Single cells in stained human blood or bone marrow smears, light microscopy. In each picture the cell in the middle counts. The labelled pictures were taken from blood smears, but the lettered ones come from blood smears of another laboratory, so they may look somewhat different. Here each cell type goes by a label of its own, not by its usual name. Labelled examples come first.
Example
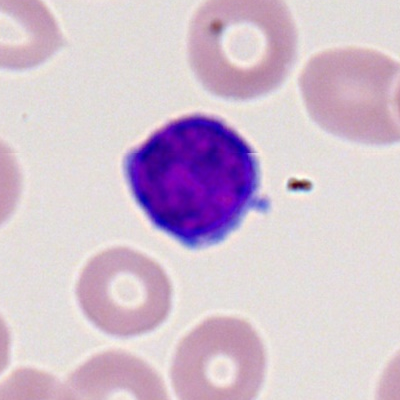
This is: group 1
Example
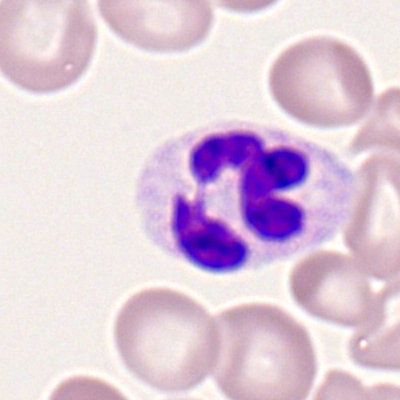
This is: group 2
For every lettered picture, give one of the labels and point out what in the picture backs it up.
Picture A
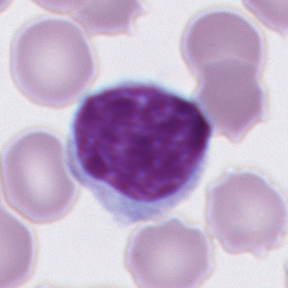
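group 1: The cytoplasm forms a thin rim that is widest below the nucleus.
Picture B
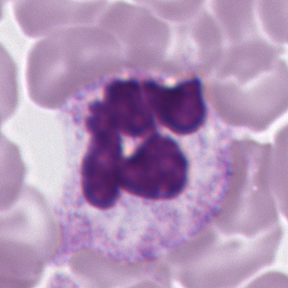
group 2: The cytoplasm is pale pinkish-lilac, not blue.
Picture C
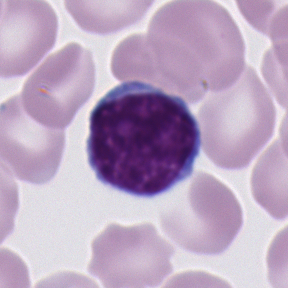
group 1: The cytoplasm is only a thin rim around the nucleus.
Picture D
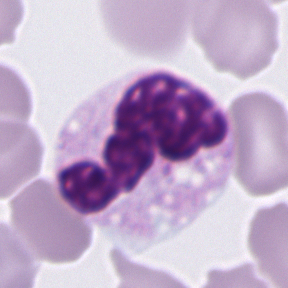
group 2: The cytoplasm is plentiful and pale pinkish-lilac.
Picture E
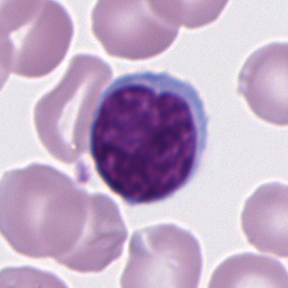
group 1: The cytoplasm forms only a thin rim around the nucleus.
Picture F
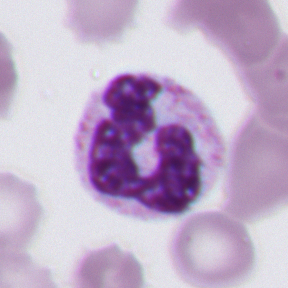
group 2: The nuclear lobes curve around a pale central patch of cytoplasm.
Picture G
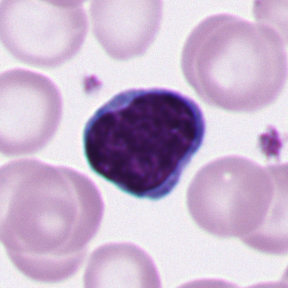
group 1: The nucleus is a single unlobed mass.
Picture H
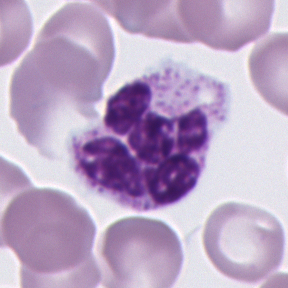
group 2: The cytoplasm is pale and nearly colourless.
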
